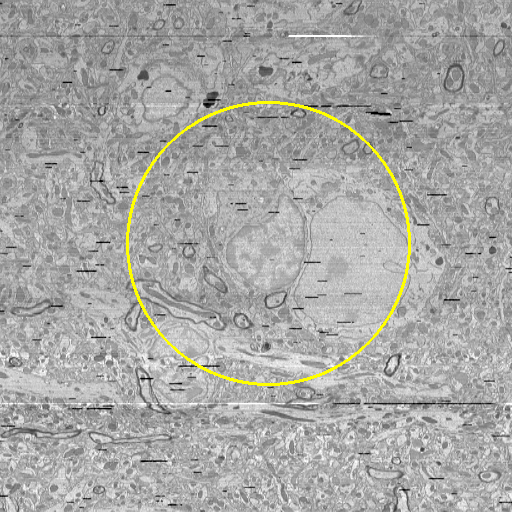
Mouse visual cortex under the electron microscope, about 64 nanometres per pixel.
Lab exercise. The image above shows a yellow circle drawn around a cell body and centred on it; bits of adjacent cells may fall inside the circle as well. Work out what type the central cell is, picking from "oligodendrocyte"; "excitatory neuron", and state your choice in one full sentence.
In the image above, the cell at the centre of the yellow circle is an oligodendrocyte.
